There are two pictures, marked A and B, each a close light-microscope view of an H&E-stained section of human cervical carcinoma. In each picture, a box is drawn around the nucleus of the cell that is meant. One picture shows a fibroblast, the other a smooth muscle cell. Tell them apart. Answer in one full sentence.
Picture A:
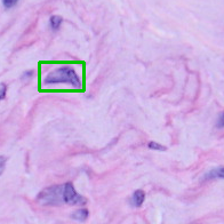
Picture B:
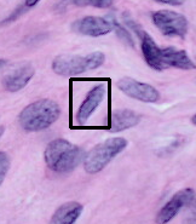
Picture B shows a fibroblast, while picture A shows a smooth muscle cell.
